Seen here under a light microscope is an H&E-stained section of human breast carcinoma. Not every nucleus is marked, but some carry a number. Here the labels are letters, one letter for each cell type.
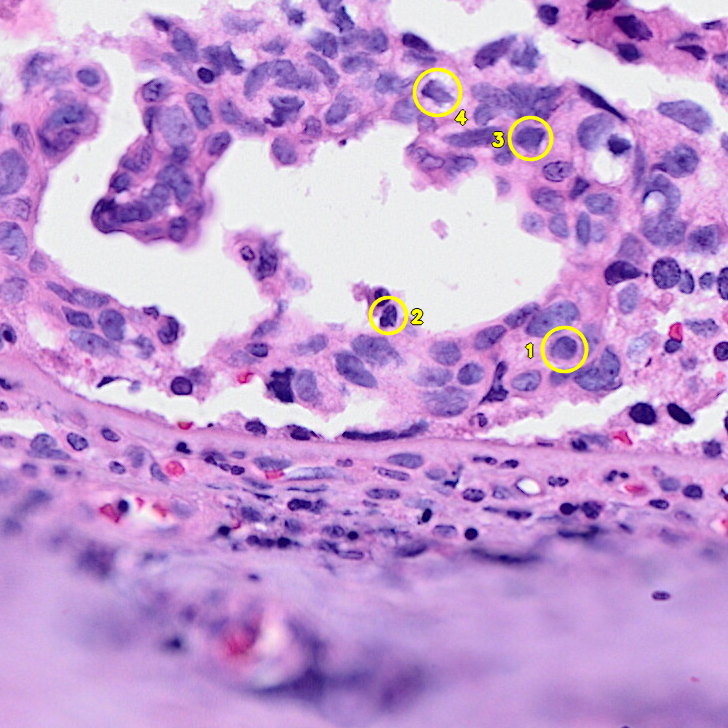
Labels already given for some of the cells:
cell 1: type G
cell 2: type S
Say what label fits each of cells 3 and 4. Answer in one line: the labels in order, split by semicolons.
type G; type G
